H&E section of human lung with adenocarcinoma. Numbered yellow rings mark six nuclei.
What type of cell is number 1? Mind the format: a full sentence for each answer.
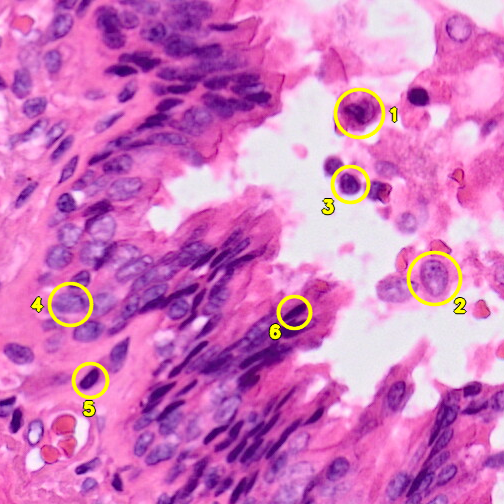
The cell identified by number 1 is a macrophage or monocyte.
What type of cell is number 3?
The cell marked with the number 3 is a lymphocyte.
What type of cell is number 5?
Recognised here as a plasma cell is the cell numbered 5.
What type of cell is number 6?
It is as a ciliated epithelial cell that the cell numbered 6 is identified.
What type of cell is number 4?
Denoted by the label 4 in the section is a ciliated epithelial cell.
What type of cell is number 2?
Corresponding to a macrophage or monocyte is the cell labelled 2.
